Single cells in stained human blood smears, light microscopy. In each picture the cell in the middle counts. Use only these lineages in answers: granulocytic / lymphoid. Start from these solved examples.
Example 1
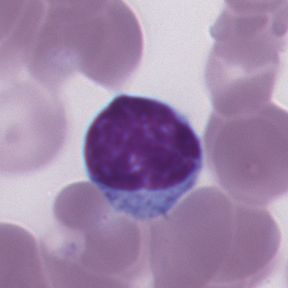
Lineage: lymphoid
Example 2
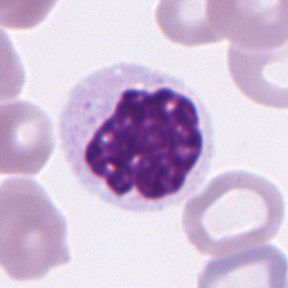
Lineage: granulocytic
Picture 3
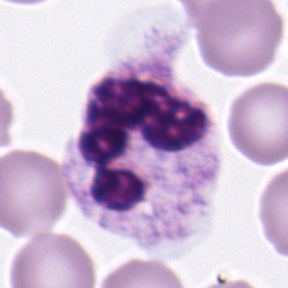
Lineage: granulocytic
